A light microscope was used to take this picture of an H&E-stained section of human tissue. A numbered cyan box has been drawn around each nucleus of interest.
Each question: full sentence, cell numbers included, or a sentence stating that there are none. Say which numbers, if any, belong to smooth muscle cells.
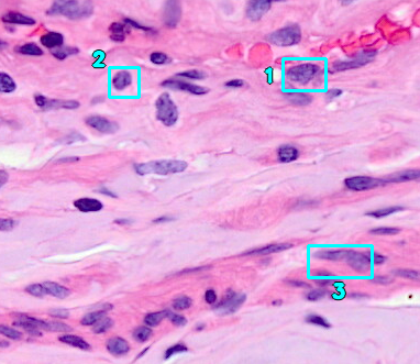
Cell 3 is a smooth muscle cell, while every other numbered cell is not.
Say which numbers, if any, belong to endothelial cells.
Exactly one numbered cell is an endothelial cell, and that cell is number 1.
